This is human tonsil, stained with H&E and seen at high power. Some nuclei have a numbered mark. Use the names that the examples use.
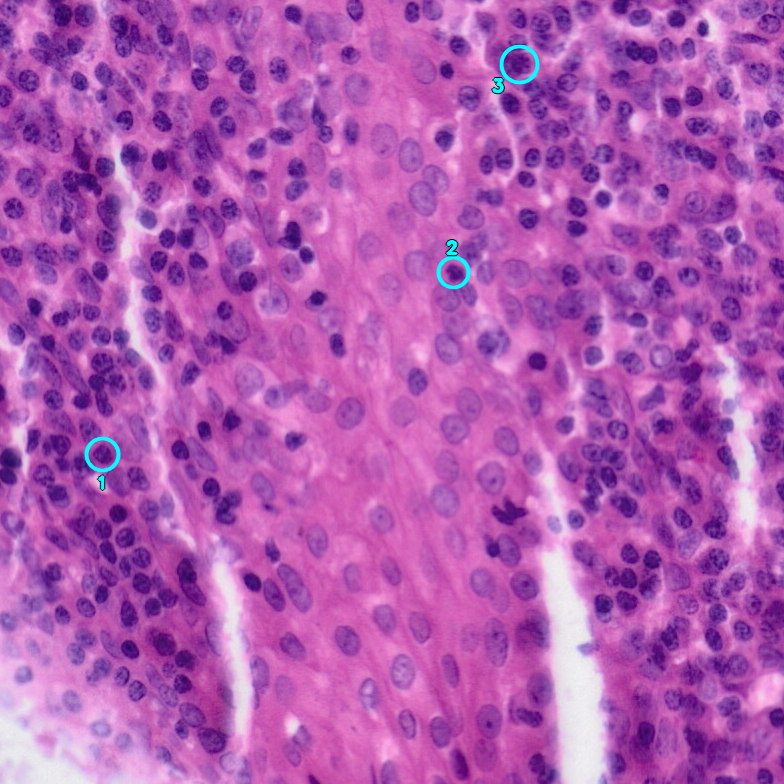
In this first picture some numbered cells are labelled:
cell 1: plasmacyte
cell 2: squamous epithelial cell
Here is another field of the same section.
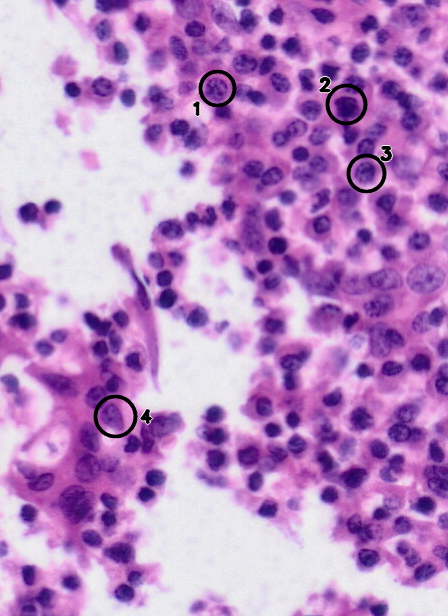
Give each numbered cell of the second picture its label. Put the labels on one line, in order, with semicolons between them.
plasmacyte; plasmacyte; plasmacyte; squamous epithelial cell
